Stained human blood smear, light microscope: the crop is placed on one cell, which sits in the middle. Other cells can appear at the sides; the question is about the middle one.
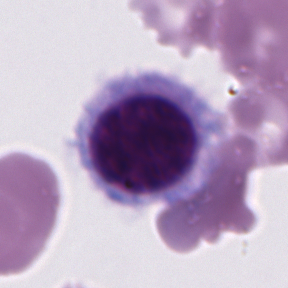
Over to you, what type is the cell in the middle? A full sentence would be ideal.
Present in the middle of the crop is a hairy cell.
